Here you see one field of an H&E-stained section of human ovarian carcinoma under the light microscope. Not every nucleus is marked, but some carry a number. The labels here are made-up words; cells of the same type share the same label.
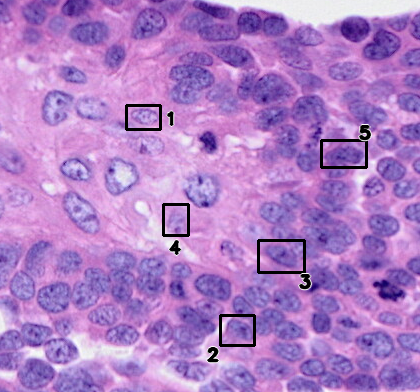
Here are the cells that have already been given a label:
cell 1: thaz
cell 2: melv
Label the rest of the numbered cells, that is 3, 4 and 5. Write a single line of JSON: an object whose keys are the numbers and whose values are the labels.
{"3": "melv", "4": "thaz", "5": "melv"}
